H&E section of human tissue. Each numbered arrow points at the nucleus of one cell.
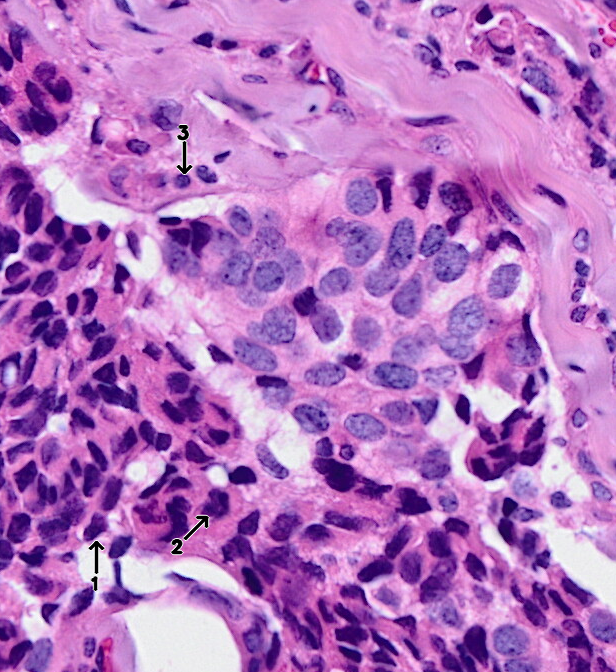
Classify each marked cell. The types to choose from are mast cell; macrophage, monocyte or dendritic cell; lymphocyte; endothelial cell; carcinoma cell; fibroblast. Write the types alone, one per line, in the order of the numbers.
carcinoma cell
carcinoma cell
mast cell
